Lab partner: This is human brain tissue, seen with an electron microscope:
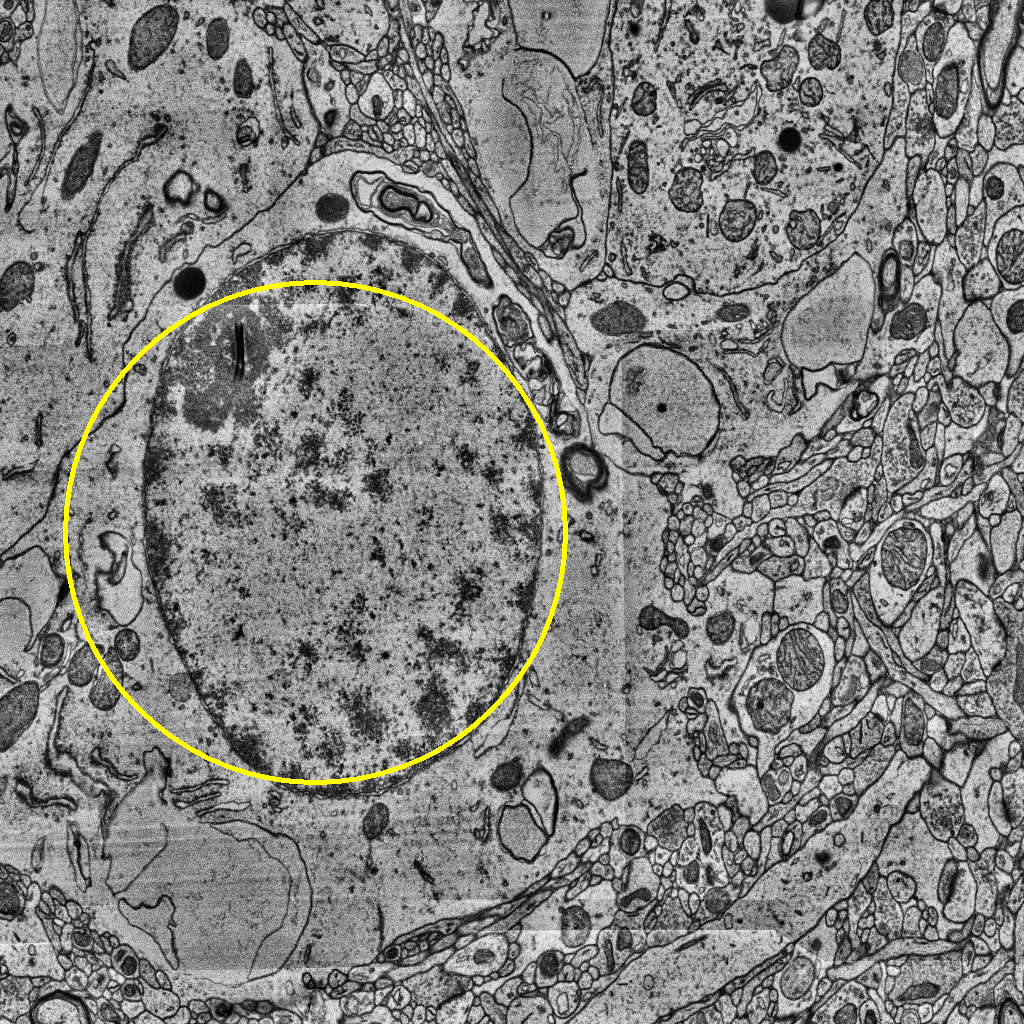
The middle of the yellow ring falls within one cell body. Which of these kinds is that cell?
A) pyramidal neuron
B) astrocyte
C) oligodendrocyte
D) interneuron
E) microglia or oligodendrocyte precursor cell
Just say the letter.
B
